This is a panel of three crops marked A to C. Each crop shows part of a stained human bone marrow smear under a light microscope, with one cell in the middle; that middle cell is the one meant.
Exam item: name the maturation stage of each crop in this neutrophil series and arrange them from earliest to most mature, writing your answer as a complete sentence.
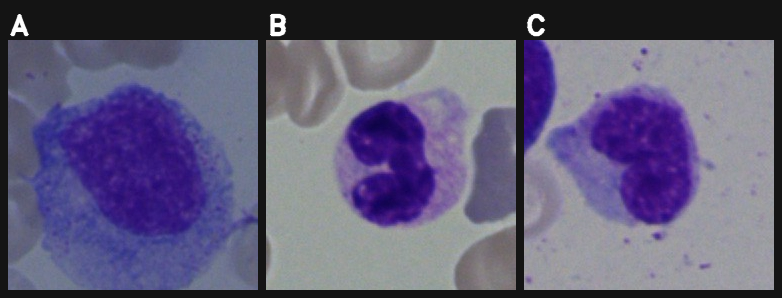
In terms of maturity, from least to most, the order is crop A (a myelocyte), crop C (a metamyelocyte) and crop B (a segmented neutrophil).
